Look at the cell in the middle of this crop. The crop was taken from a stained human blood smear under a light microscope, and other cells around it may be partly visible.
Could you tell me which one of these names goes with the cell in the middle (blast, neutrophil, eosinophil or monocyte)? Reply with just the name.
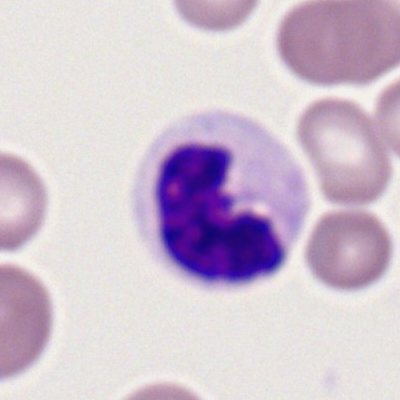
neutrophil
